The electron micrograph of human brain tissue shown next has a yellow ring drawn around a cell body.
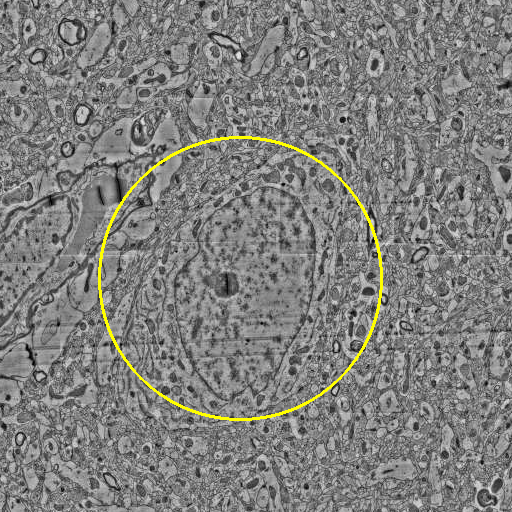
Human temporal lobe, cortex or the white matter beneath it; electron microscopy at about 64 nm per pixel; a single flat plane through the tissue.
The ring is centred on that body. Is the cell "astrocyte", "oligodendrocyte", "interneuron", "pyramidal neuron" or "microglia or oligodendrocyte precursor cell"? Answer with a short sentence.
The cell in question is an interneuron.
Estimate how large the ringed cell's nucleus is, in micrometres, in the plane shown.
At approximately 14 by 9 micrometres, the nucleus is clearly longer than it is wide in this plane.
